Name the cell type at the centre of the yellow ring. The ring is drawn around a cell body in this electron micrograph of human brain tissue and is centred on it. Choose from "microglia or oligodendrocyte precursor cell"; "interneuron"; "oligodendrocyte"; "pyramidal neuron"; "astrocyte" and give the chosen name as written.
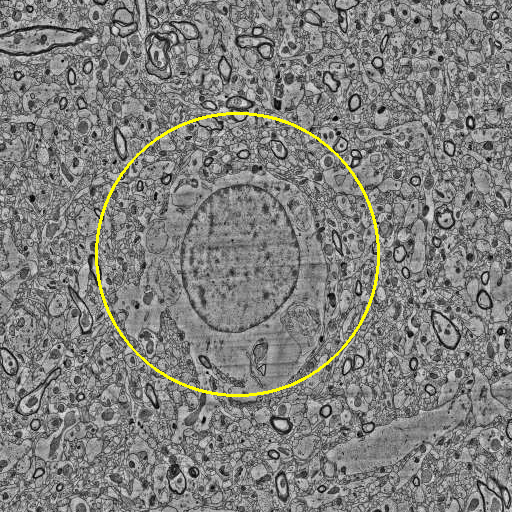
astrocyte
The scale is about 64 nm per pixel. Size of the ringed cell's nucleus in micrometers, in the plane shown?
The nucleus measures about 9 by 8 micrometres in this plane.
